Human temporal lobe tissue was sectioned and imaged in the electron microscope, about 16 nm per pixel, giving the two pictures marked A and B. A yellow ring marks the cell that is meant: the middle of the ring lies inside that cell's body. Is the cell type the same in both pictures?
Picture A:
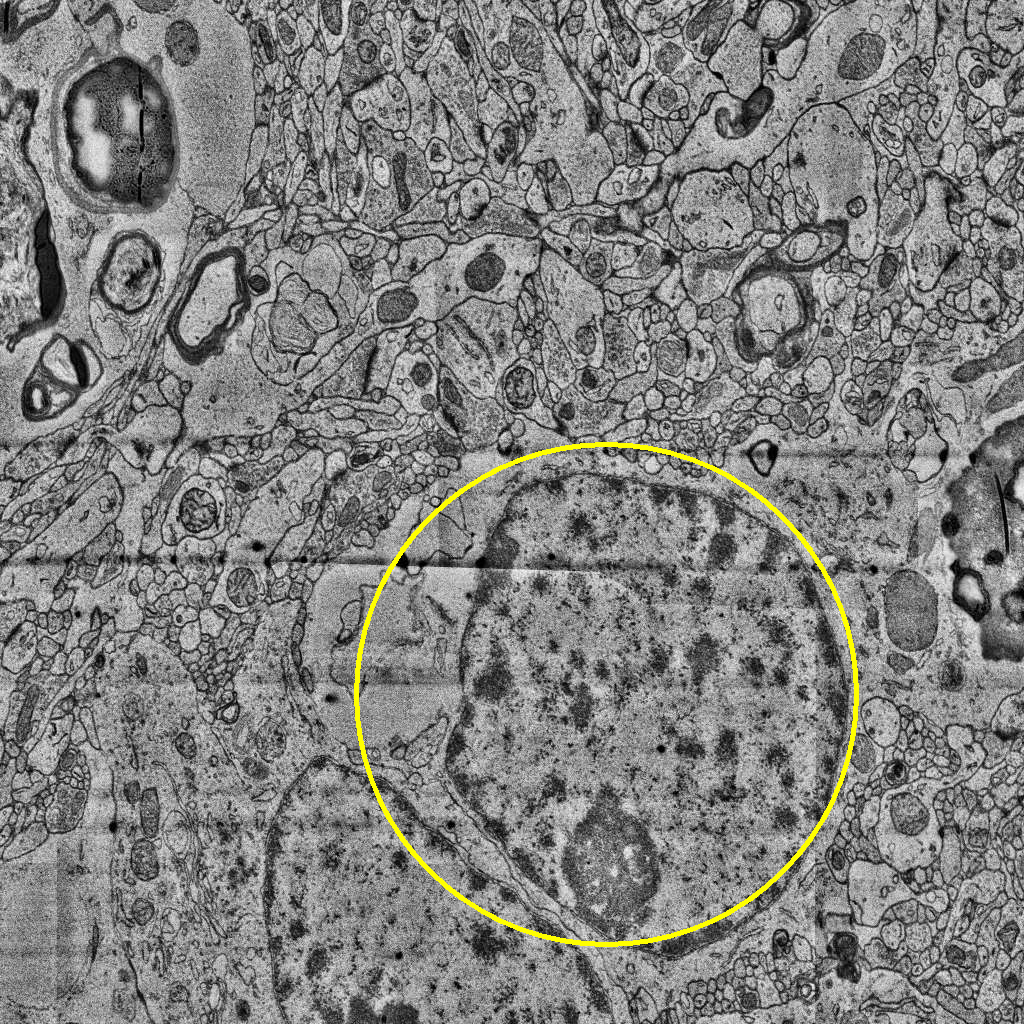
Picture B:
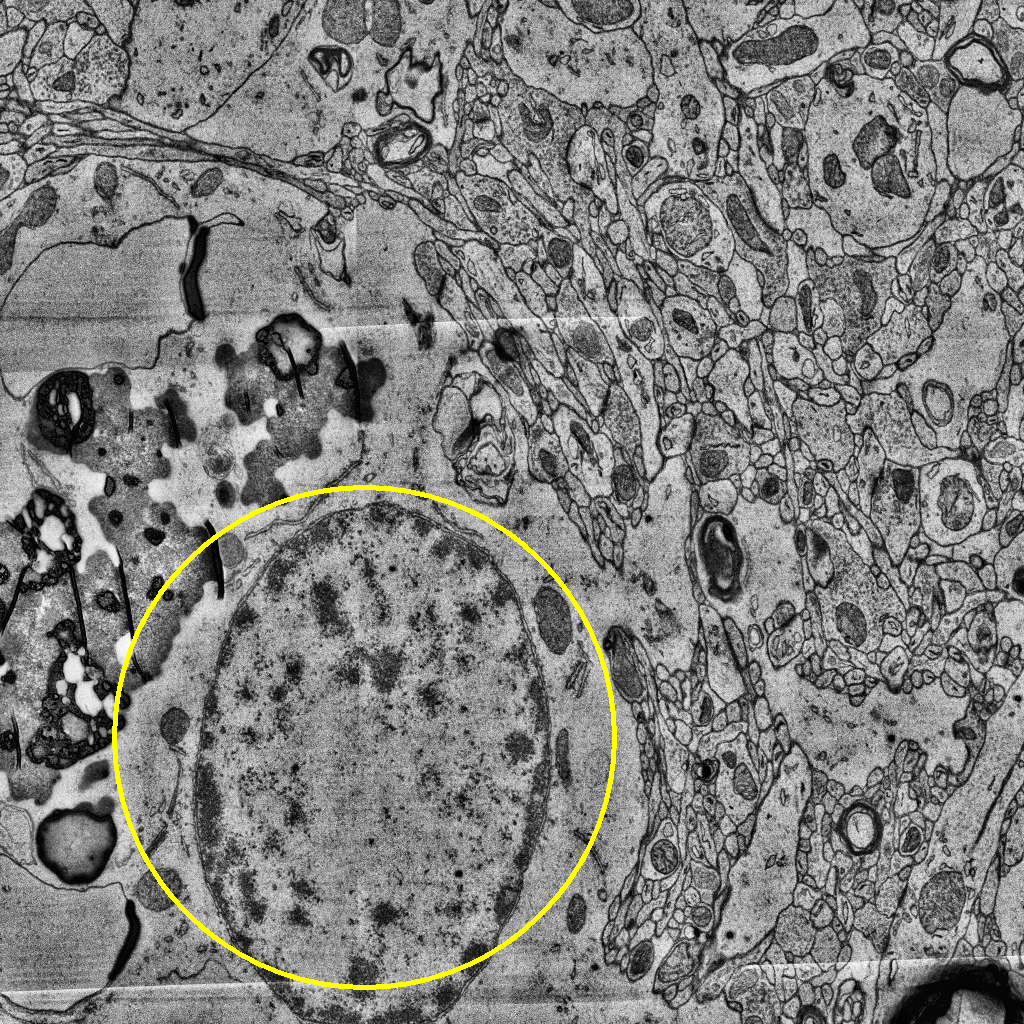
Yes, the two pictures both show astrocytes.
